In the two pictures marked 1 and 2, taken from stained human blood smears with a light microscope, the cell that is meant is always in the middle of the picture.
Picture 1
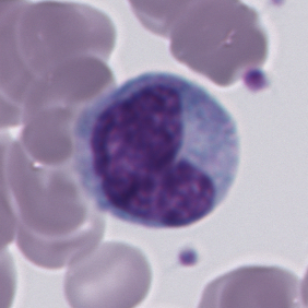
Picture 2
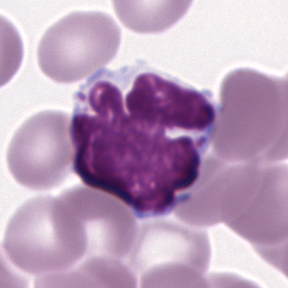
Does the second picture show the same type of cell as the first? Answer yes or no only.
no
